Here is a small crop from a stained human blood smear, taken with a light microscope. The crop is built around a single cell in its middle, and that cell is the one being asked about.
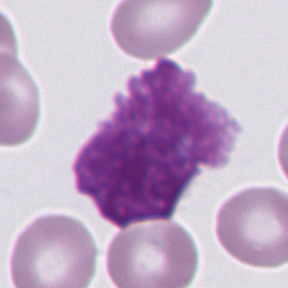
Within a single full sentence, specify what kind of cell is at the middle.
The cell marked by its central position in the crop is a smudge cell.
